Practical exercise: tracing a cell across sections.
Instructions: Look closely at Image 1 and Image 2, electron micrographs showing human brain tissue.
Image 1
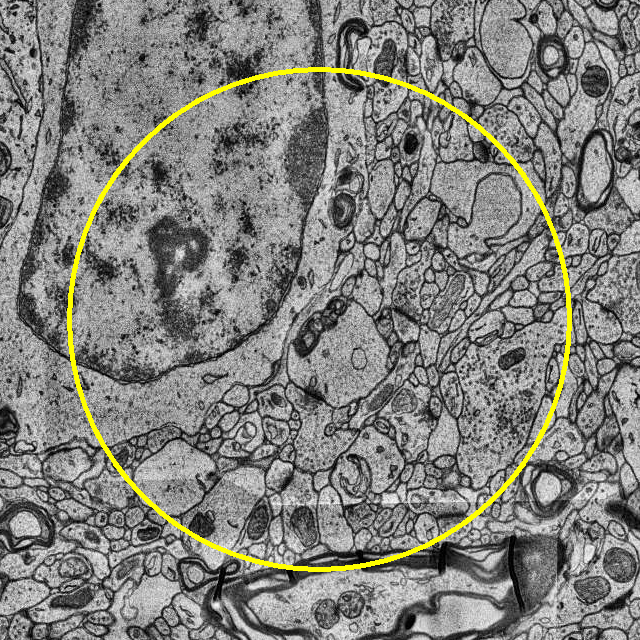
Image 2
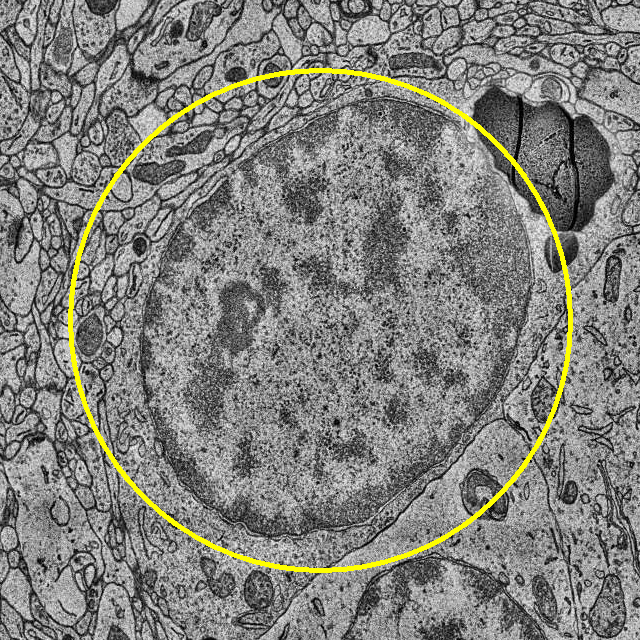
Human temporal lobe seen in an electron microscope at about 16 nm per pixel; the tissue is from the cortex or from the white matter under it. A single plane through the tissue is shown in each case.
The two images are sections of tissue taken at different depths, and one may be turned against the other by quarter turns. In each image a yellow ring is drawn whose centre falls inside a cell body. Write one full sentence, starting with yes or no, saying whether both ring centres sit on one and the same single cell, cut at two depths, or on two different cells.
Yes, one cell is ringed in yellow twice over.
